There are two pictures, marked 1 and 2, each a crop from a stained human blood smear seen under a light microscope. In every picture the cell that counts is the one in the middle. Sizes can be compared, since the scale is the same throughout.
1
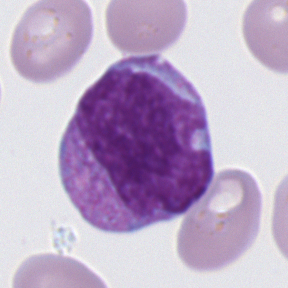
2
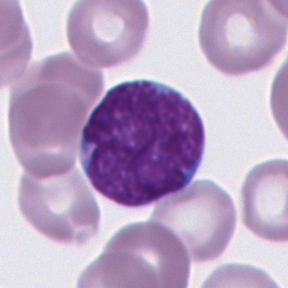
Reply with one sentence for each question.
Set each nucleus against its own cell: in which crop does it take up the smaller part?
In crop 1 the nucleus takes up the smaller part of its cell.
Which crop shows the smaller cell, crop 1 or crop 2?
It is the cell in crop 2; the cell in crop 1 has about 1.5 times its area.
